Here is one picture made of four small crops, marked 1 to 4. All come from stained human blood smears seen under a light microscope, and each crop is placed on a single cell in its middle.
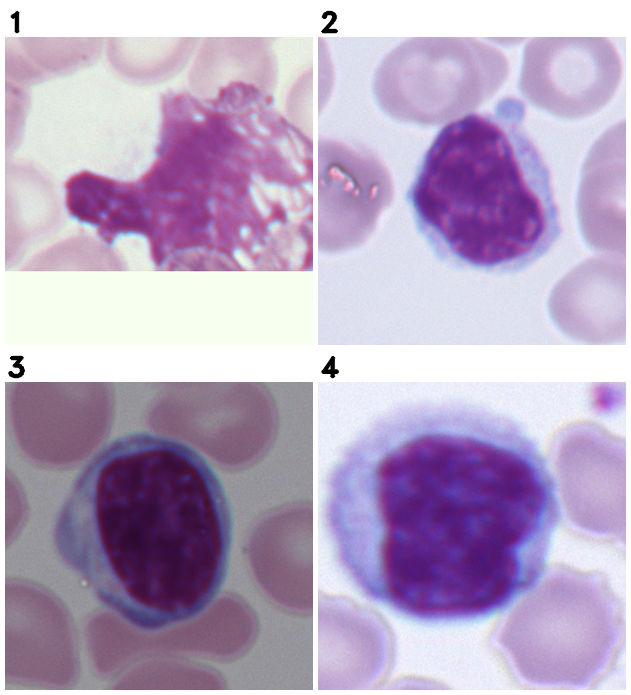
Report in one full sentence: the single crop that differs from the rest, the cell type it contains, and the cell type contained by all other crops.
Only one crop differs, namely crop 1, which is a smudge cell; the others show typical lymphocytes.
